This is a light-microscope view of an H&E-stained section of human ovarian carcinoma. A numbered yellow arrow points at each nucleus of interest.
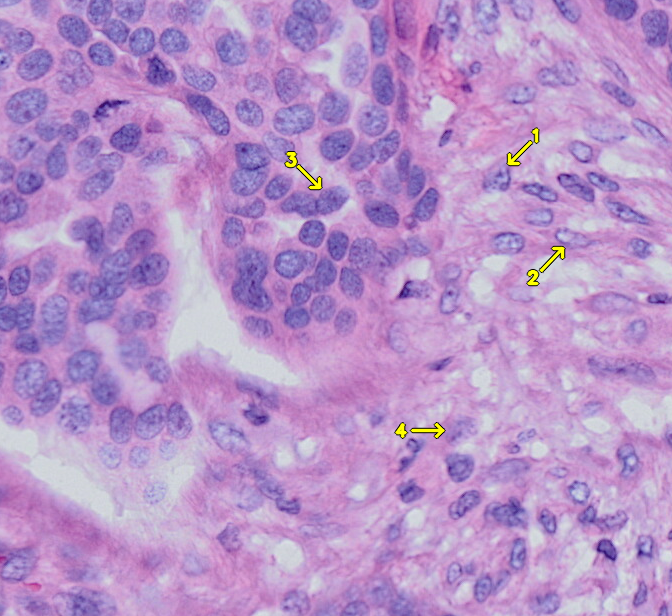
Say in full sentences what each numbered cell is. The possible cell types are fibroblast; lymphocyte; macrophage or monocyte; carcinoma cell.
Cell 1 is a fibroblast, cell 2 is a fibroblast, cell 3 is a carcinoma cell and cell 4 is a fibroblast.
